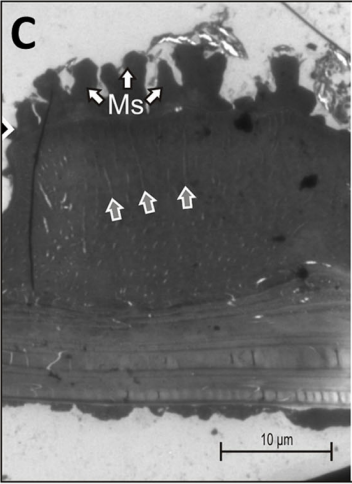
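A section through the cuticula shows a layered structure. At the surface, short rounded projections rise side by side from the outer layer. Below them lies a thick, fairly uniform dark layer crossed by thin faint lines running roughly vertically. Beneath this a thinner layer of fine horizontal stacked bands rests on a narrow basal layer.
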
